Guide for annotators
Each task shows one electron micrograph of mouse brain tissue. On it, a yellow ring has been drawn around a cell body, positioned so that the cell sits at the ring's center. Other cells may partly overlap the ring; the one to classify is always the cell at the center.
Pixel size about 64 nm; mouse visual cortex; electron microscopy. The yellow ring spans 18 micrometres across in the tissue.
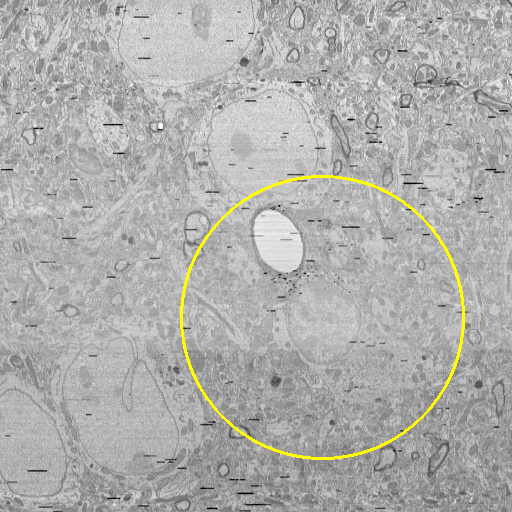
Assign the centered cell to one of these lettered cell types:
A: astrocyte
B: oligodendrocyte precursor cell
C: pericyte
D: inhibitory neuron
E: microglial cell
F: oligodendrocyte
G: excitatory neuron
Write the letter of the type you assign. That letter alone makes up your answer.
F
